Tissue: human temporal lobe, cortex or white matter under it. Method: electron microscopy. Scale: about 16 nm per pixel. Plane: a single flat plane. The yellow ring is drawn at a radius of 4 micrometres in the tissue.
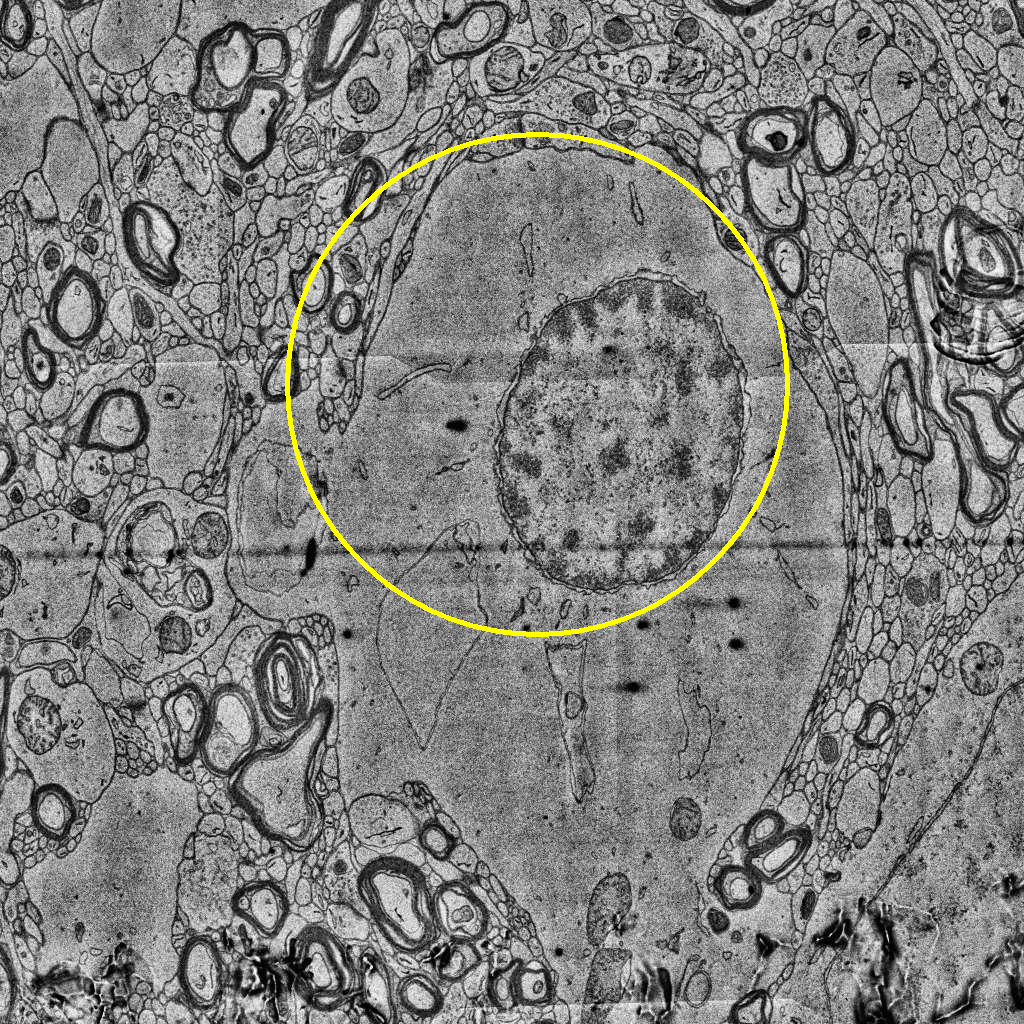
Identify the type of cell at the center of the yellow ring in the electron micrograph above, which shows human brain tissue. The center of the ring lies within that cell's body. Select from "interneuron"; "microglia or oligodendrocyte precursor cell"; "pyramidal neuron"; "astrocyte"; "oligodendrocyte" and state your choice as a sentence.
The center of the yellow ring lies in the body of an astrocyte.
